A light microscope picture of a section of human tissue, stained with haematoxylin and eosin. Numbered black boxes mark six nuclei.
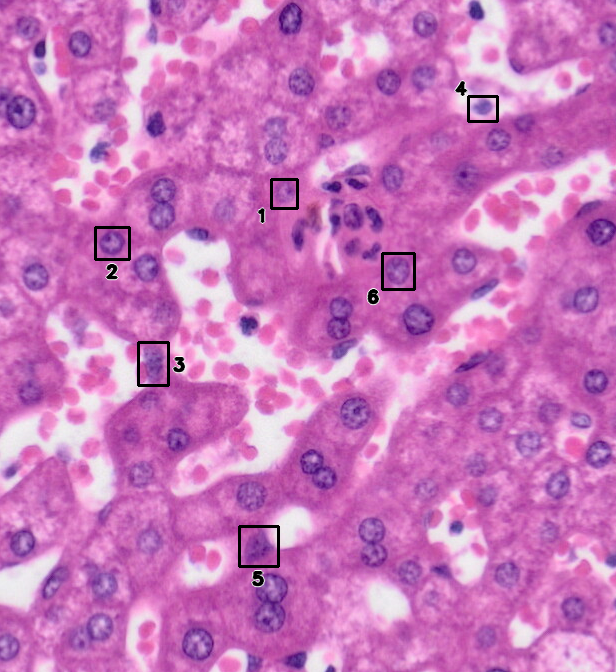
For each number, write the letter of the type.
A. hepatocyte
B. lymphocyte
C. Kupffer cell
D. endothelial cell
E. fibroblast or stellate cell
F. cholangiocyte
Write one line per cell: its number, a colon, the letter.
1: A
2: A
3: D
4: B
5: D
6: A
